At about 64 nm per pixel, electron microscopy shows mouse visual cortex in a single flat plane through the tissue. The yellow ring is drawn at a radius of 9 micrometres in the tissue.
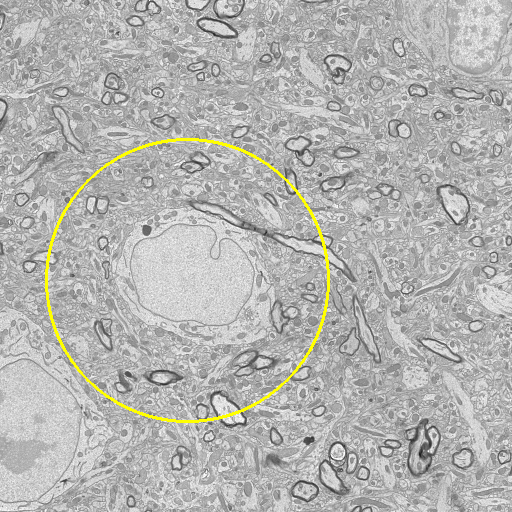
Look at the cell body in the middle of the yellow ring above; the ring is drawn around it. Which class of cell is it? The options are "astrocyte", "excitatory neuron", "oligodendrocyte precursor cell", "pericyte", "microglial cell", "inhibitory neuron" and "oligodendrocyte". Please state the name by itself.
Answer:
excitatory neuron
